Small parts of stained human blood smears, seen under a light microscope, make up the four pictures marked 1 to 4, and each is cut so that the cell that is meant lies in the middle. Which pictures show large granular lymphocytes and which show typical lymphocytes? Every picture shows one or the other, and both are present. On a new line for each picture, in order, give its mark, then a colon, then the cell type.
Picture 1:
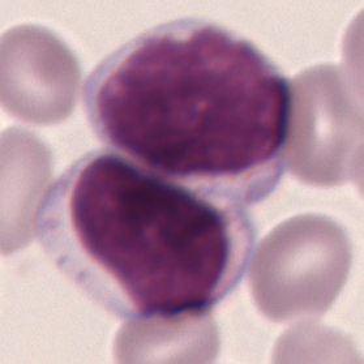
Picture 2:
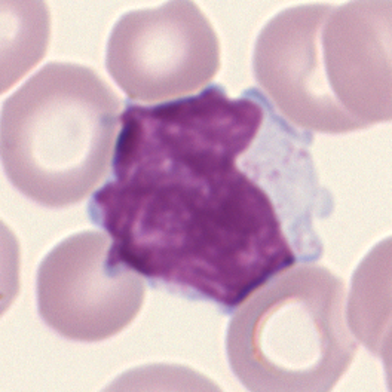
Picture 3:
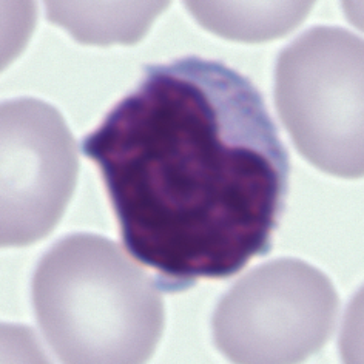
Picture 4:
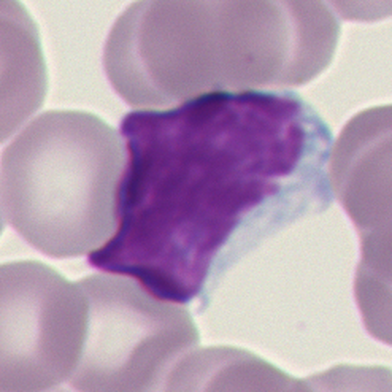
1: large granular lymphocyte
2: large granular lymphocyte
3: typical lymphocyte
4: typical lymphocyte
